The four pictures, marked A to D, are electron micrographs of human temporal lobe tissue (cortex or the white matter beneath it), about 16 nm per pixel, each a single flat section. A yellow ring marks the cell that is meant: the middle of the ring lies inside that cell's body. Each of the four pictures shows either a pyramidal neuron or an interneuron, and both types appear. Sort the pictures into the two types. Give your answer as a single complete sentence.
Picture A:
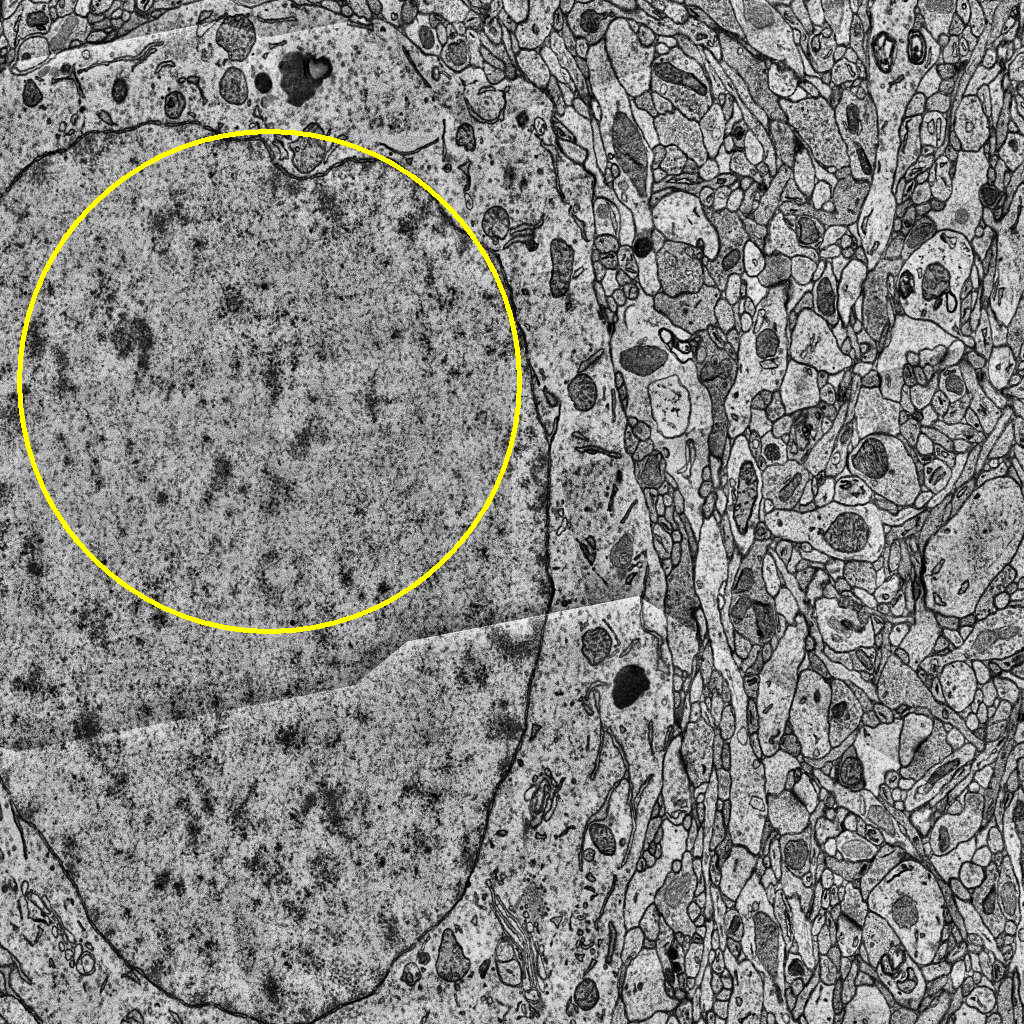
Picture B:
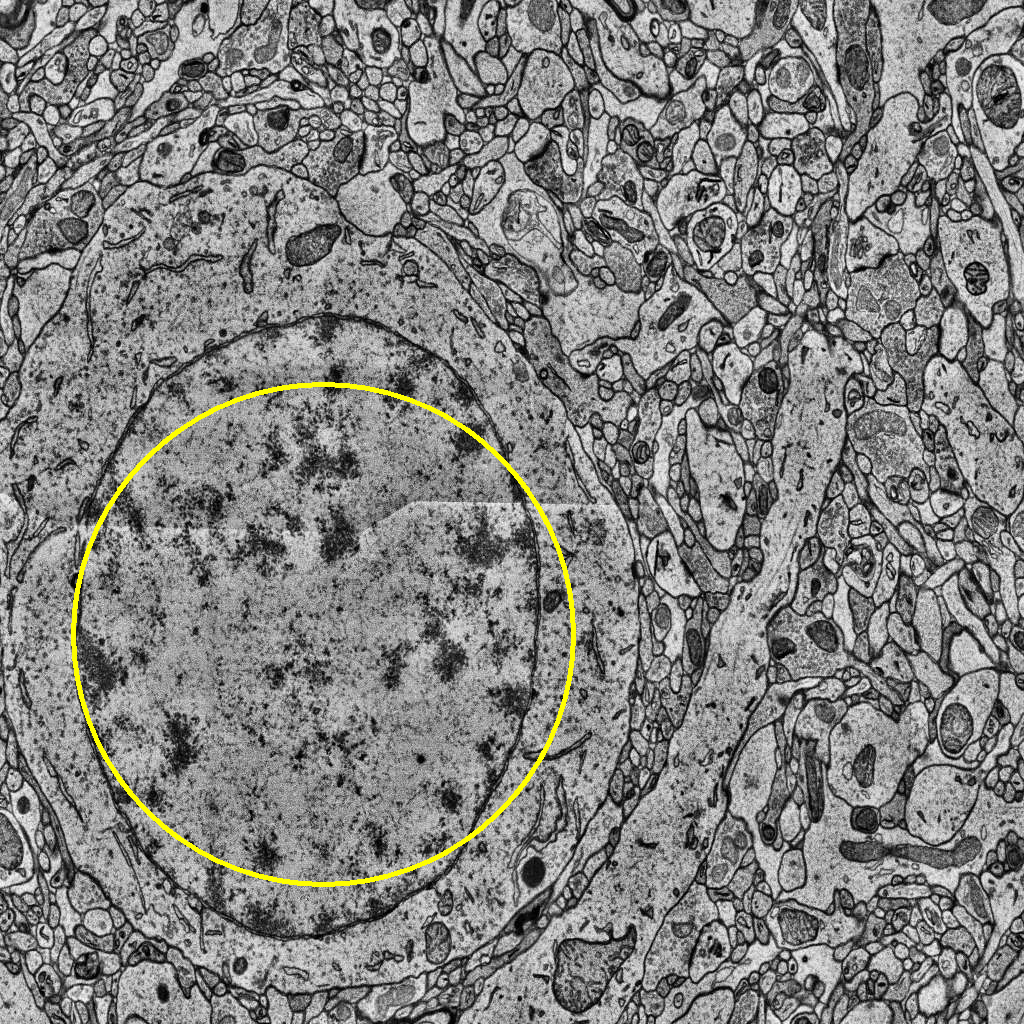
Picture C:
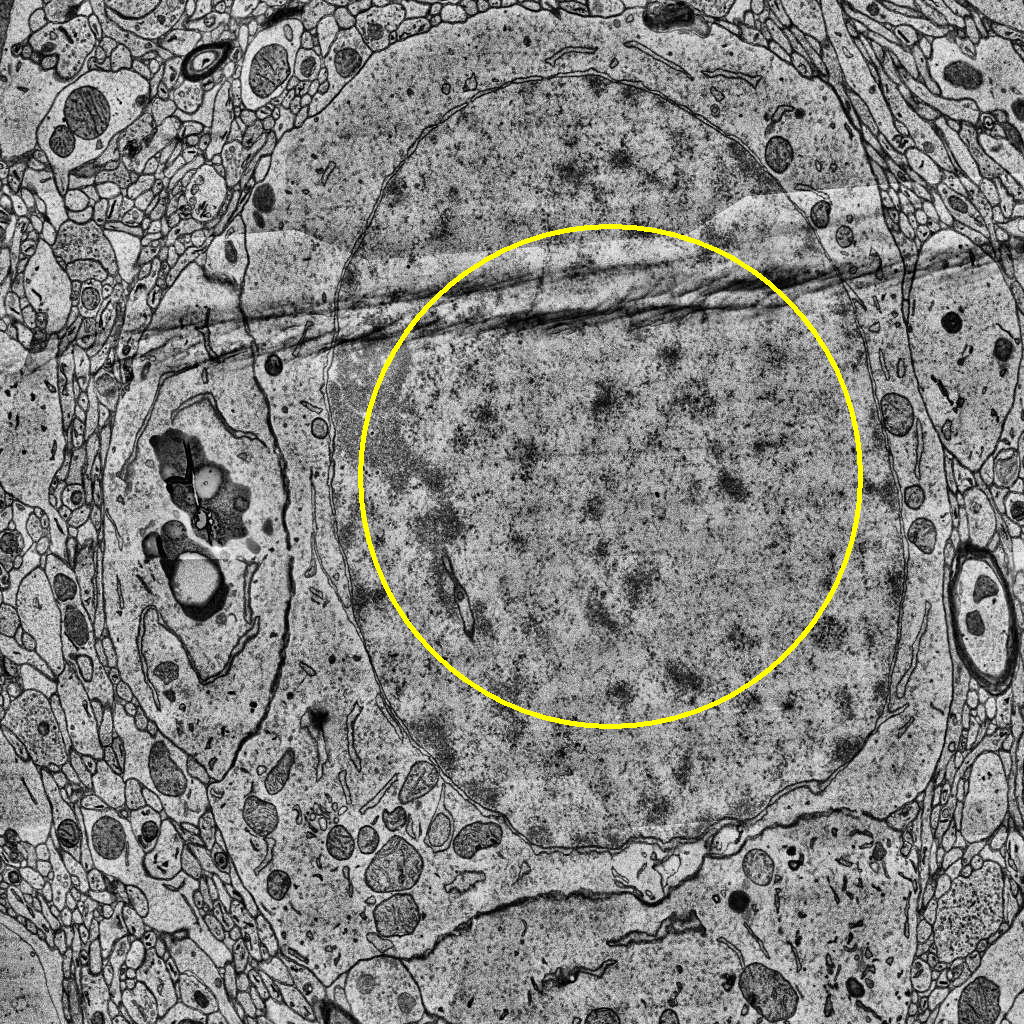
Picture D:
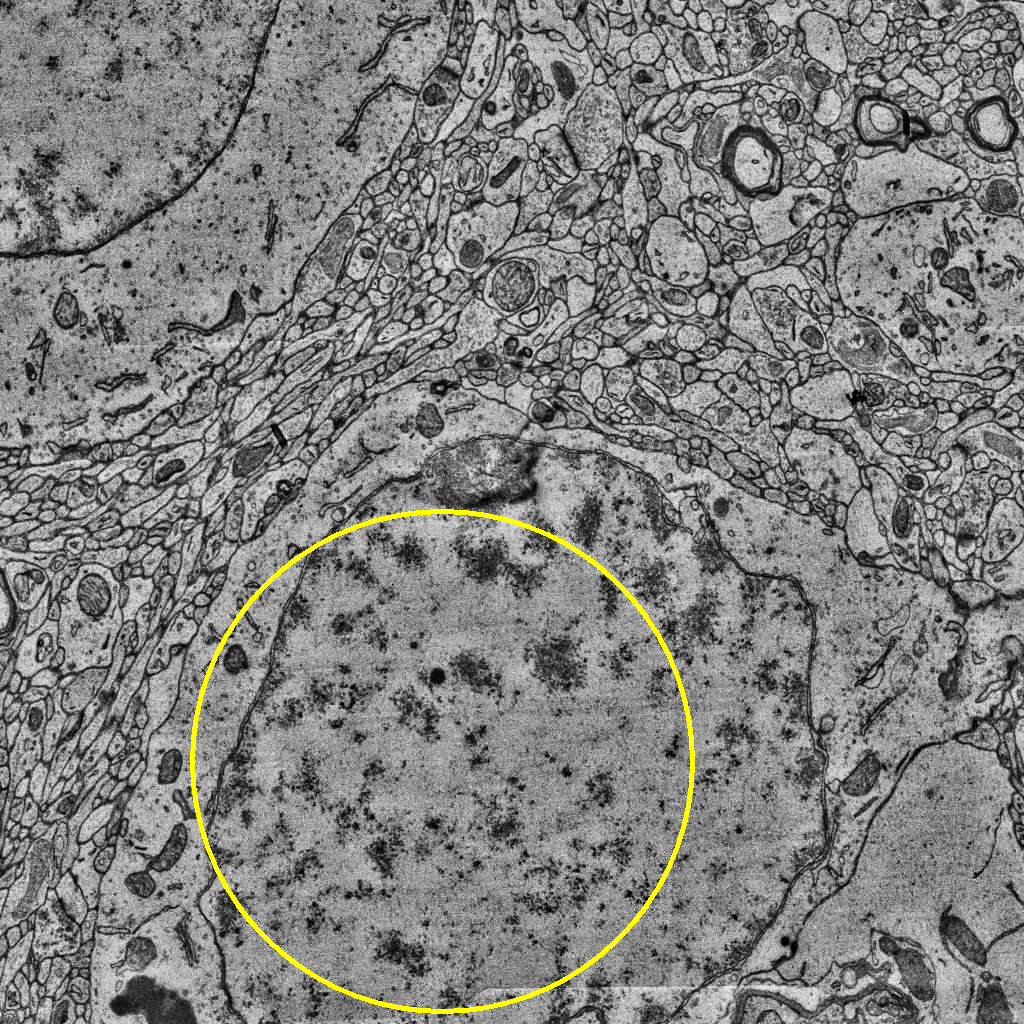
Pictures A and B show pyramidal neurons, and pictures C and D show interneurons.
